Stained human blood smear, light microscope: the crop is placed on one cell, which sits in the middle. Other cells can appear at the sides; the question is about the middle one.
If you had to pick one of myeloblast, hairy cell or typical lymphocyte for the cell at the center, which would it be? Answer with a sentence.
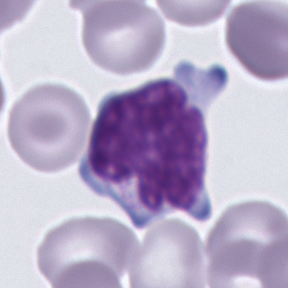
Looking at the middle of the crop, the cell there is a typical lymphocyte.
